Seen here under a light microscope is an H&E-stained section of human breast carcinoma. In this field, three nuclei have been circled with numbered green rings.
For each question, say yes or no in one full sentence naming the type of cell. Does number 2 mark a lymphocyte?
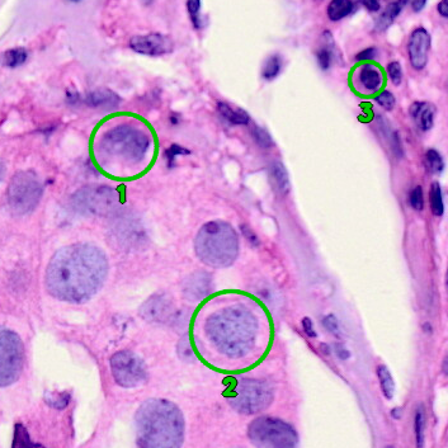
No, the cell tagged 2 is a carcinoma cell, and not a lymphocyte.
